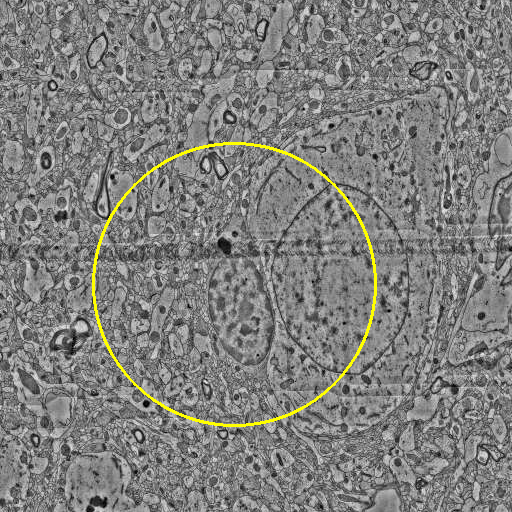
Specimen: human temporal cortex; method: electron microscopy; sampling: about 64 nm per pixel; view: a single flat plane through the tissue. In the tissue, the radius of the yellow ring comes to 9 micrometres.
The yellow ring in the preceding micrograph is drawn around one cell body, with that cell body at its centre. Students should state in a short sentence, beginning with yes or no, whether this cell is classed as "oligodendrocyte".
Yes, this cell is of that type.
